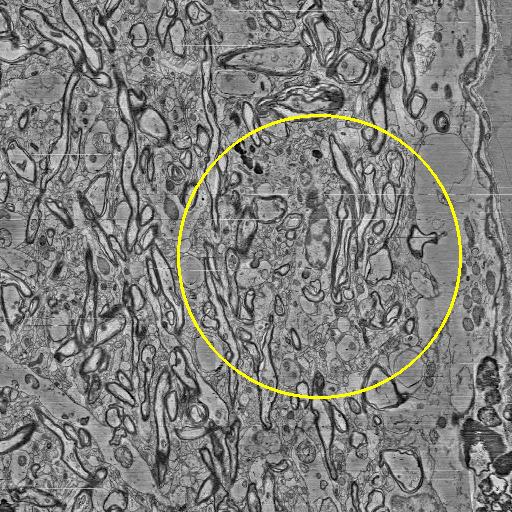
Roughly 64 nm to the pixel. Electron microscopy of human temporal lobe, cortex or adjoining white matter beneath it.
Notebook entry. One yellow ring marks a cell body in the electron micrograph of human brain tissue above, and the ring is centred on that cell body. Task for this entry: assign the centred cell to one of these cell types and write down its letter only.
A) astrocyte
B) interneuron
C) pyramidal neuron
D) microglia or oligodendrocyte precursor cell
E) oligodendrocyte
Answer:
D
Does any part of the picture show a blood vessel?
Yes.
